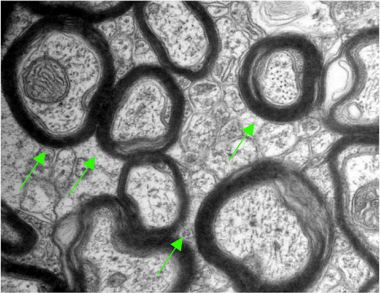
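Here we are looking at white matter cut across, with axons seen end-on as rounded profiles. Each axon is filled with pale, finely speckled axoplasm, and around it runs a thick, very dark ring: the myelin sheath, wound tightly and evenly so that its layers merge into a solid band. The sheaths are of fairly even thickness around each circumference and the axons are close-packed, with small pale processes and spaces filling the gaps between them.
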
